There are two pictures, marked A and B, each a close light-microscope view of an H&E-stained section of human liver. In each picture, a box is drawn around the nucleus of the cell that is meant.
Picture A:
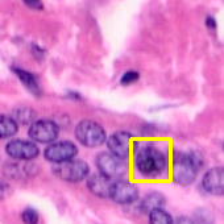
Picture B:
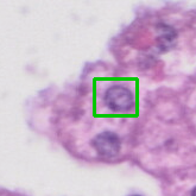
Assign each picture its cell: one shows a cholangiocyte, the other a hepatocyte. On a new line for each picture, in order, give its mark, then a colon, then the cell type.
A: cholangiocyte
B: hepatocyte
